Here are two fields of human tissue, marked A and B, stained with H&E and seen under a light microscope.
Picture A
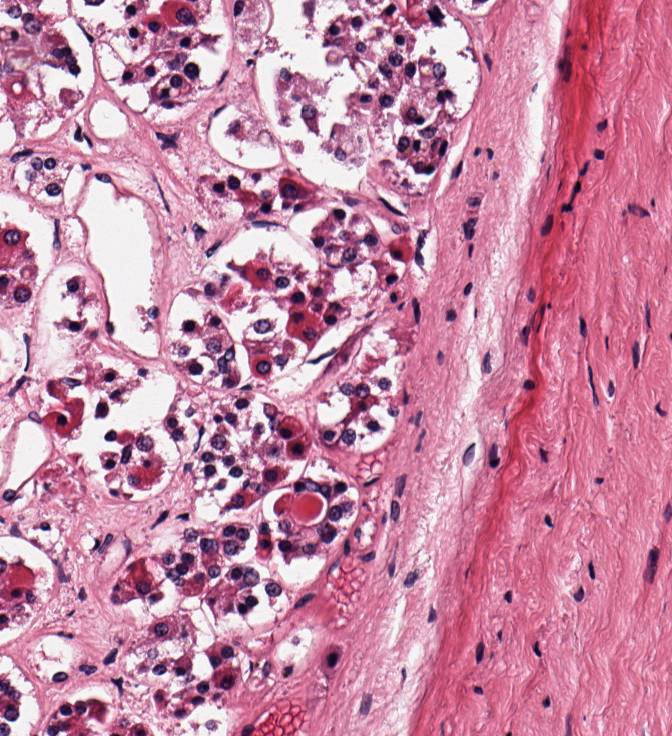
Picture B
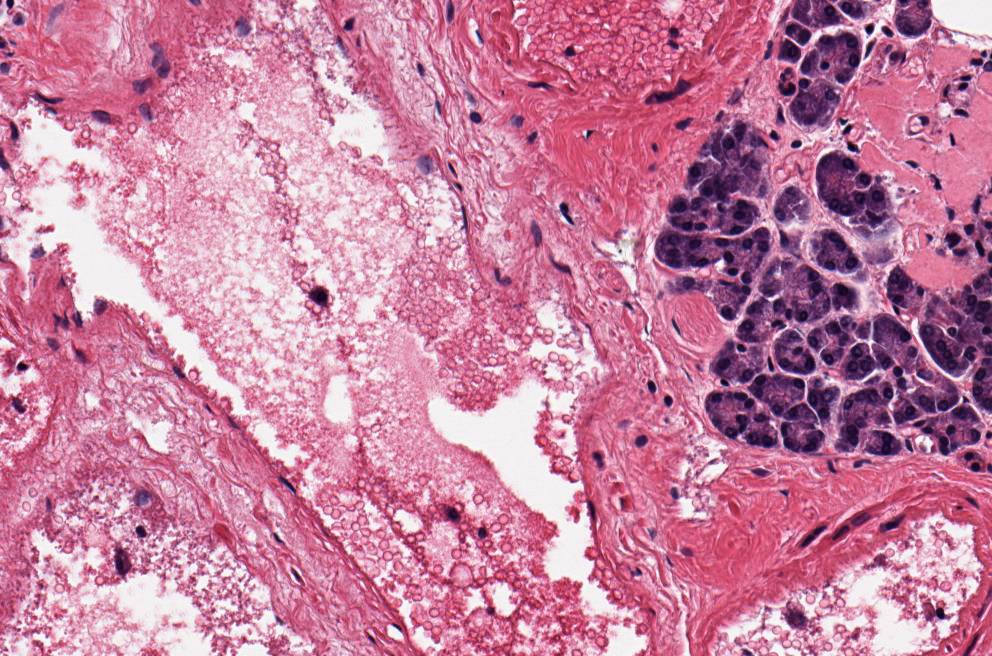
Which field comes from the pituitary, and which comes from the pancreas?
A: pituitary
B: pancreas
